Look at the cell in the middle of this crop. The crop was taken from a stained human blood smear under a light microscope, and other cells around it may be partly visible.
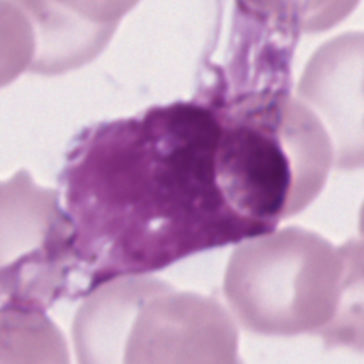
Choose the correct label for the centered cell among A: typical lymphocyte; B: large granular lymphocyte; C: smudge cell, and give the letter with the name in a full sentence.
Located in the middle of the crop is a smudge cell, and option C is therefore correct.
